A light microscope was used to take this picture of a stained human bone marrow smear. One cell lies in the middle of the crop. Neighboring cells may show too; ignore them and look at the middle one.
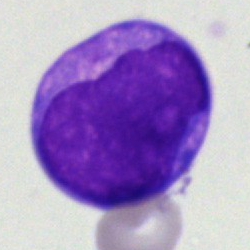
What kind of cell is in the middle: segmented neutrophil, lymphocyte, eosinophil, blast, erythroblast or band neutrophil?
blast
